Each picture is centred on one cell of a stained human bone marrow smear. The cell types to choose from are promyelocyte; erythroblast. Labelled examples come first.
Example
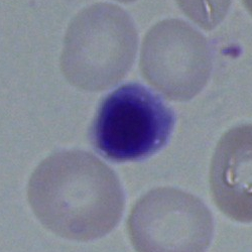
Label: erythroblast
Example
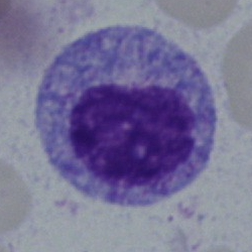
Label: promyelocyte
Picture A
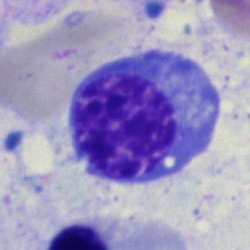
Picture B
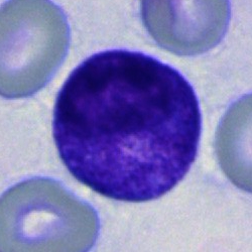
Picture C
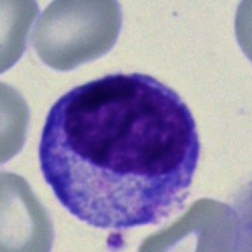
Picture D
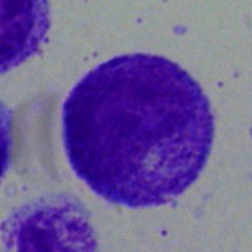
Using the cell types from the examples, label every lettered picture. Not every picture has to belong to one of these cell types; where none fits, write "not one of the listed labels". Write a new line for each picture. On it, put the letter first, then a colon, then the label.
A: erythroblast
B: promyelocyte
C: promyelocyte
D: not one of the listed labels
